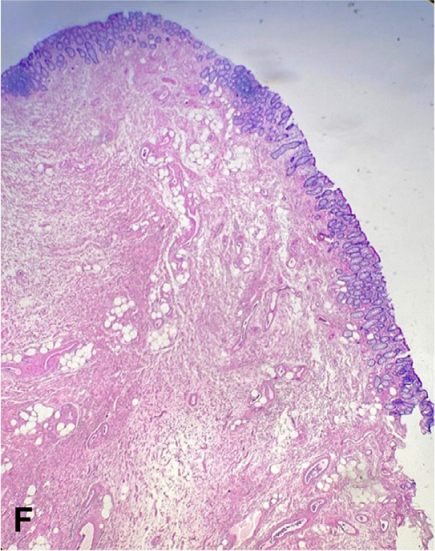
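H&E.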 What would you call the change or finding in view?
Expansive proliferation of benign fibrous, vascular and adipose tissue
